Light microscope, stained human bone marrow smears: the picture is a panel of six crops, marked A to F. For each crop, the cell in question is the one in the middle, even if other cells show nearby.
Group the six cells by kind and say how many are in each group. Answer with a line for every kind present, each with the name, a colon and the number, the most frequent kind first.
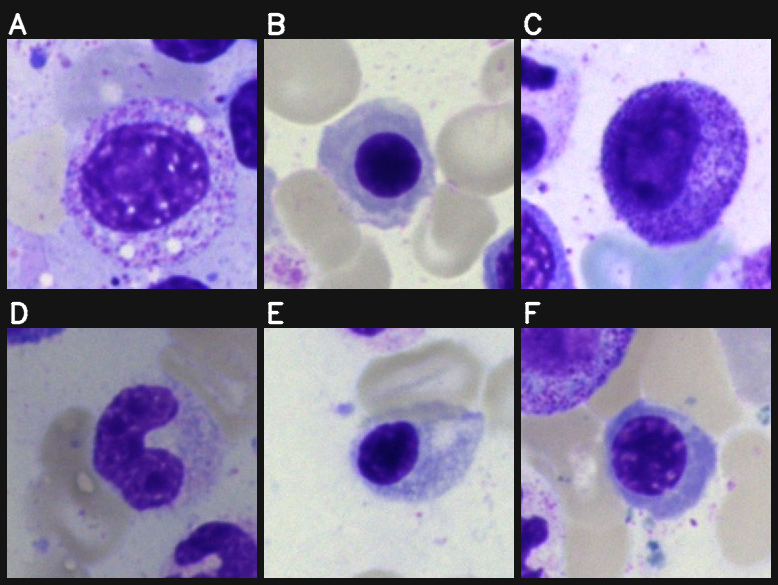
normoblast: 3
myelocyte: 2
band neutrophil: 1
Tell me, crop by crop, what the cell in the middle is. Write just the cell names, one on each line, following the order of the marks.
myelocyte
normoblast
myelocyte
band neutrophil
normoblast
normoblast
